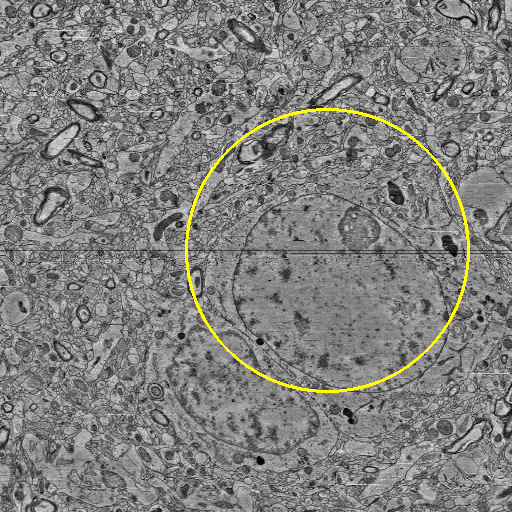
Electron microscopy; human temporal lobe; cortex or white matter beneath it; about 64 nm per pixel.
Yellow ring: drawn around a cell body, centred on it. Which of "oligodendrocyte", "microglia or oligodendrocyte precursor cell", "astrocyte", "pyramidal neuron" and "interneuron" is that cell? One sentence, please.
That cell body is from a pyramidal neuron.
